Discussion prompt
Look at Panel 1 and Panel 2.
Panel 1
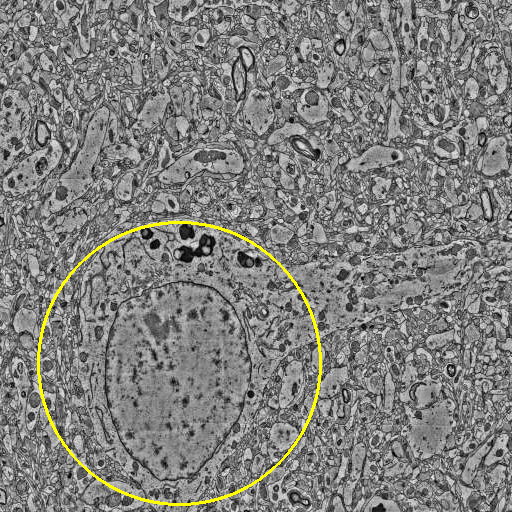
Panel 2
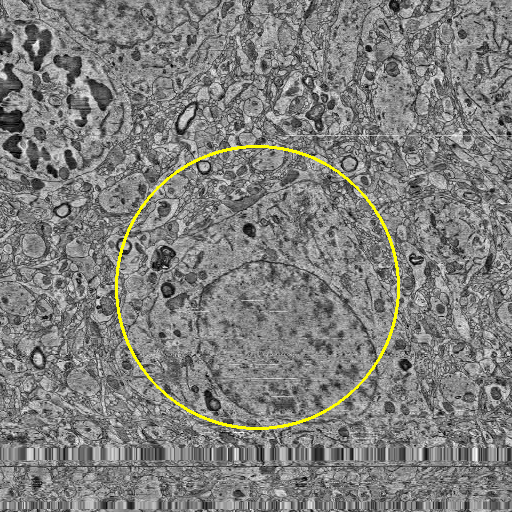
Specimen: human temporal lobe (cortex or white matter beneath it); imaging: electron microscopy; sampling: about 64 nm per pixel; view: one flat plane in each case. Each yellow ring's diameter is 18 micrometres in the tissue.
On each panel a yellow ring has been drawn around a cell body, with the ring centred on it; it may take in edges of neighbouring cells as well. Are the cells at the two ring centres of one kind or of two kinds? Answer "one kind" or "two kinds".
one kind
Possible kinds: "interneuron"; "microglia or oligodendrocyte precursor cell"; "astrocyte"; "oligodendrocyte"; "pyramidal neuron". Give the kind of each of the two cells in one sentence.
The ring centre holds a pyramidal neuron in each of the two pictures.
